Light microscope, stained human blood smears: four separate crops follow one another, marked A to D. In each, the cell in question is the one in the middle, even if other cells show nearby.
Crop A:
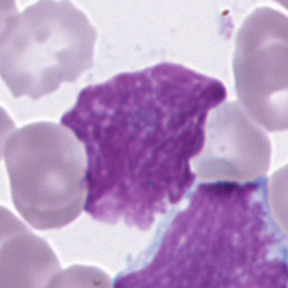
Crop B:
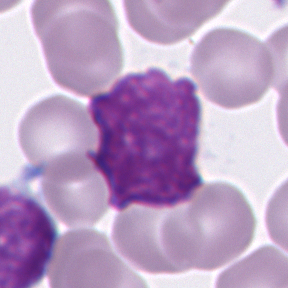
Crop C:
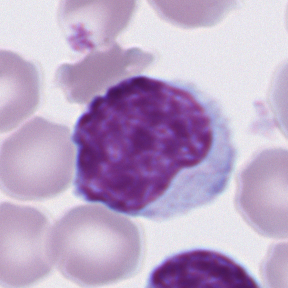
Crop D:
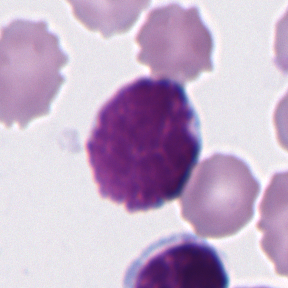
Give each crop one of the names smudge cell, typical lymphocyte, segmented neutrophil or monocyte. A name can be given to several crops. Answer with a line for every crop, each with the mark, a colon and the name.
A: smudge cell
B: smudge cell
C: typical lymphocyte
D: smudge cell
